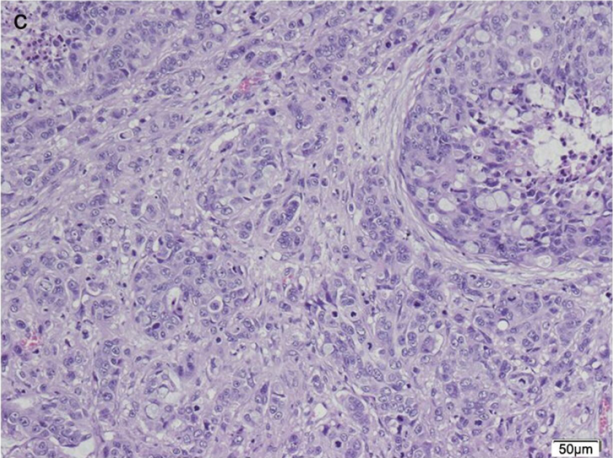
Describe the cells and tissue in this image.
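Large atypical epithelial cells with big, pleomorphic, vesicular nuclei and prominent nucleoli lie singly and in small or large clusters, with scarcely any gland formation; some cells hold clear vacuoles in their cytoplasm. Between the clusters run bands of pale pink fibrous tissue with spindle-shaped nuclei, one curving around a nest of tumor cells. This is a poorly differentiated adenocarcinoma with a desmoplastic stromal reaction.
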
